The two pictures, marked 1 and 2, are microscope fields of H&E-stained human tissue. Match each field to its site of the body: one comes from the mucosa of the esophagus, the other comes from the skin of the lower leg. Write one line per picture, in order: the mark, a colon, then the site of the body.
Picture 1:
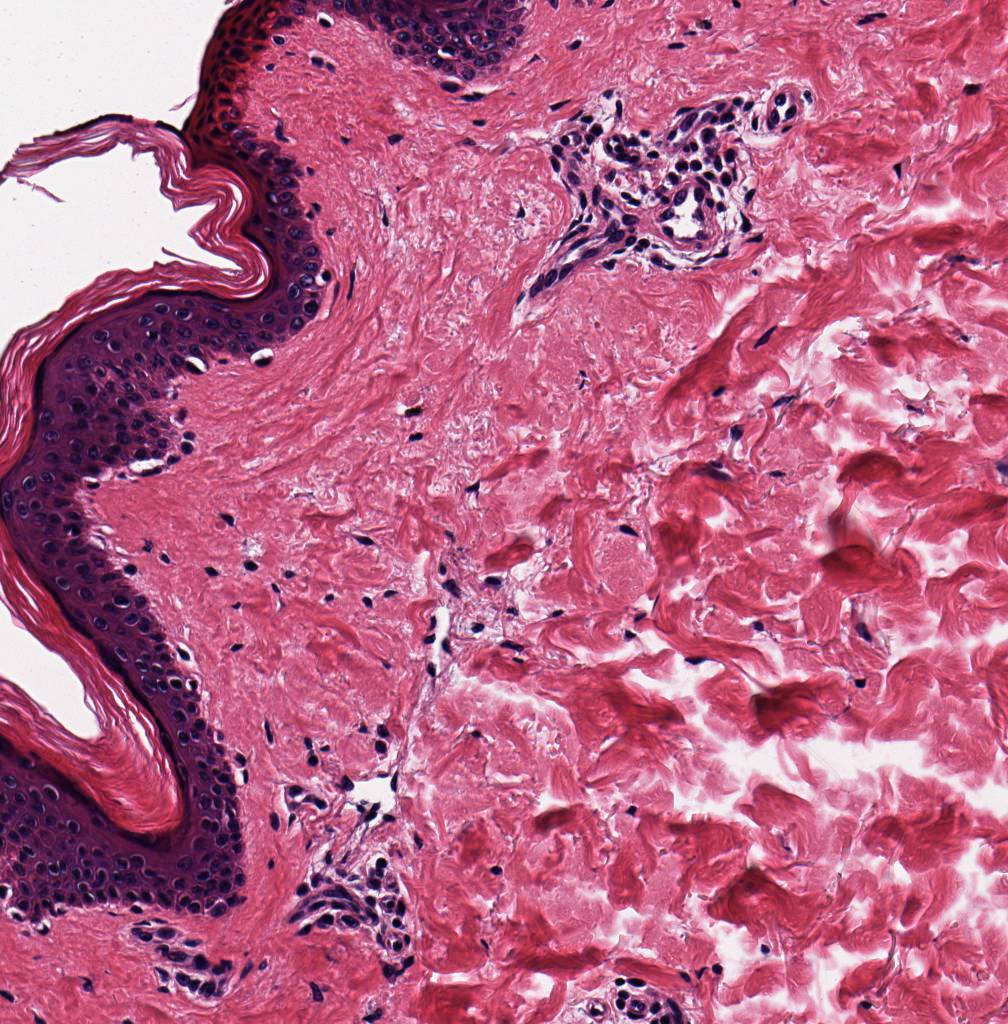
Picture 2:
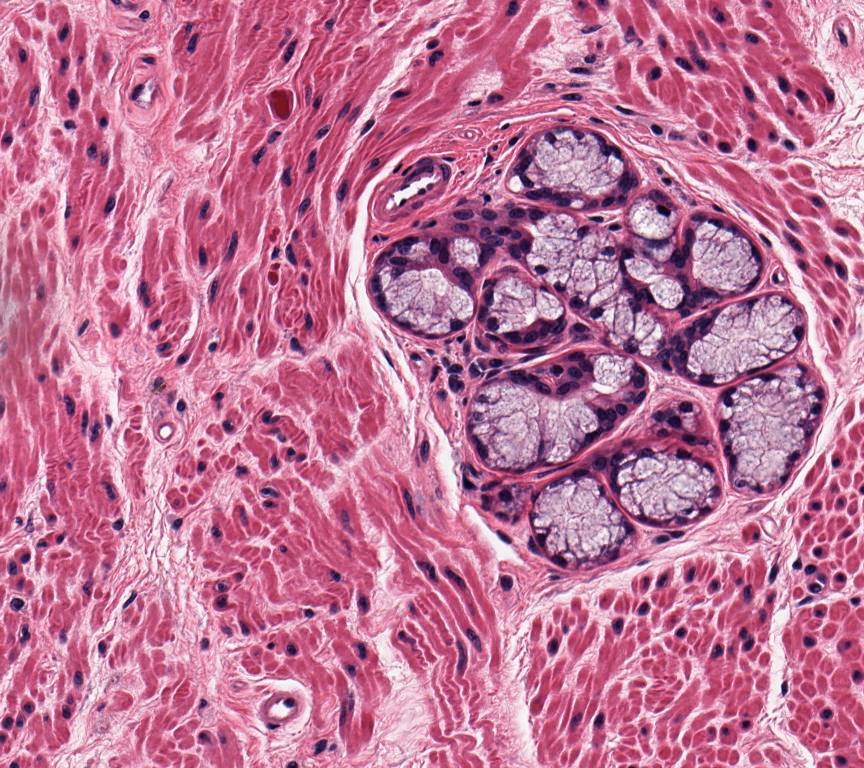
1: skin of the lower leg
2: mucosa of the esophagus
